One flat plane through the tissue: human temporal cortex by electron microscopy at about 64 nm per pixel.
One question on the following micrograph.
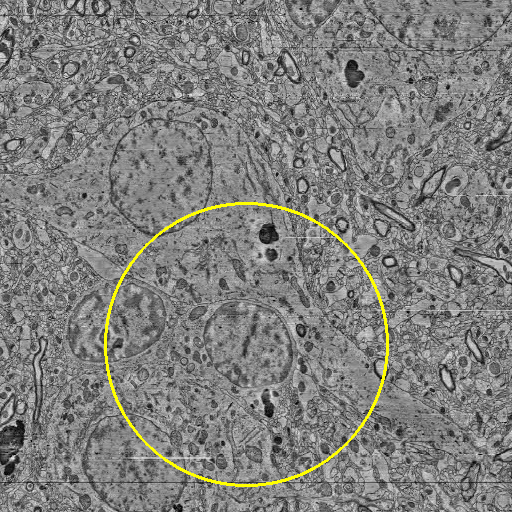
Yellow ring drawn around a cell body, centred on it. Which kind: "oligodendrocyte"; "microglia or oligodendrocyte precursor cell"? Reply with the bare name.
oligodendrocyte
